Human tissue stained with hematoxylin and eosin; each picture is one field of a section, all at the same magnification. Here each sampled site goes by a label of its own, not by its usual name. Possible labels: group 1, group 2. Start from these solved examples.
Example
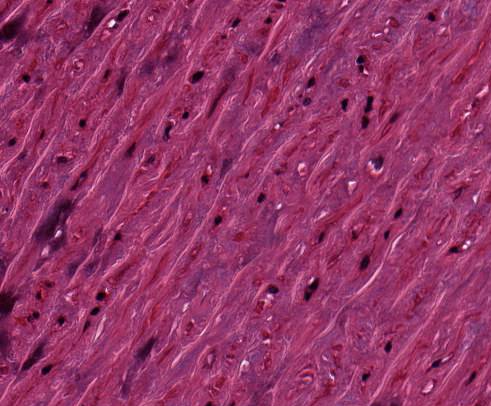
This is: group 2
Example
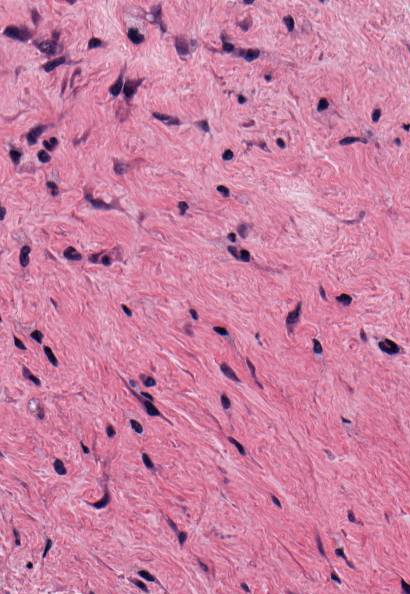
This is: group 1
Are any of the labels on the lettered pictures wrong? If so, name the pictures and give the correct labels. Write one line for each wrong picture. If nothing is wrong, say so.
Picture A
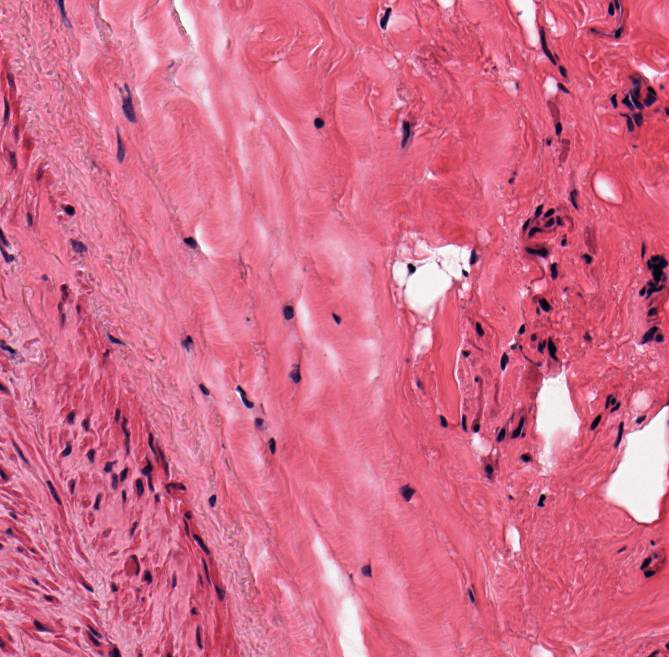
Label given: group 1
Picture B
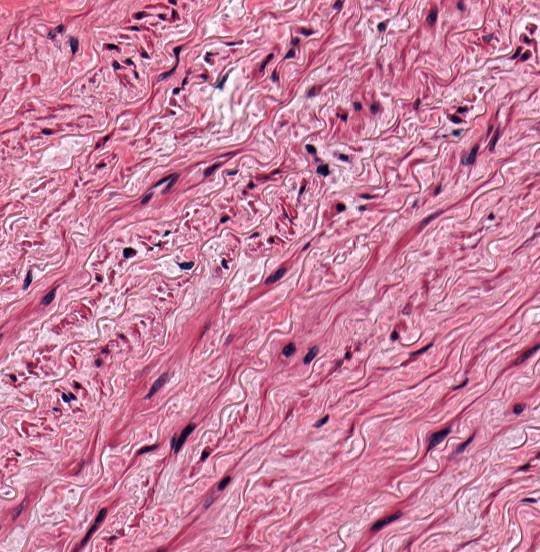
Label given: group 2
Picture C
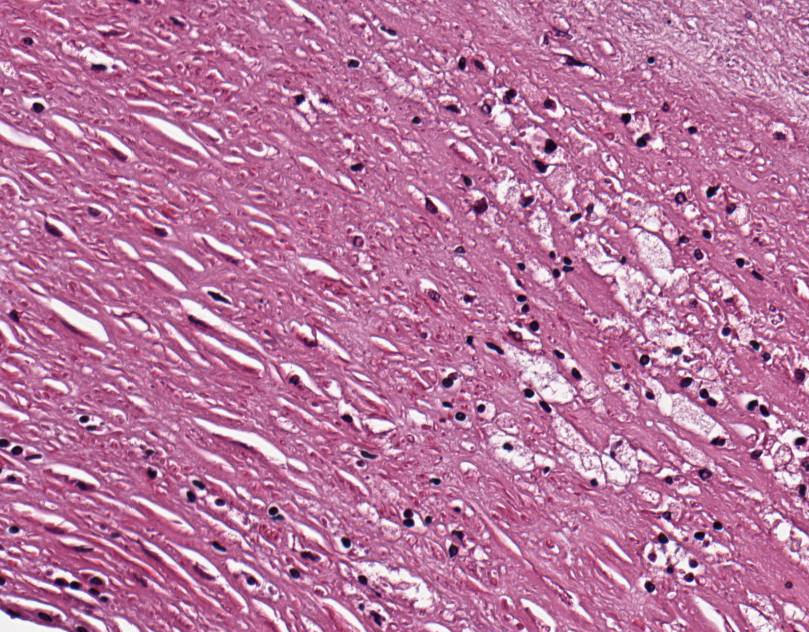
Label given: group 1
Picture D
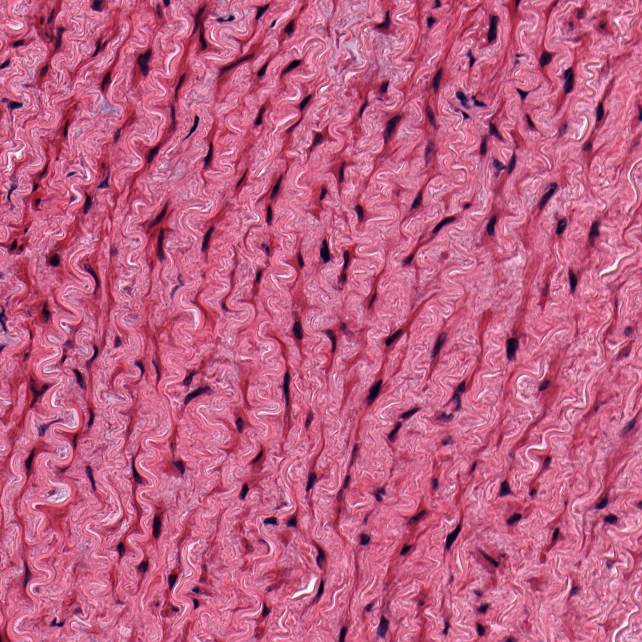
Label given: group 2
None of the labels needs changing.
